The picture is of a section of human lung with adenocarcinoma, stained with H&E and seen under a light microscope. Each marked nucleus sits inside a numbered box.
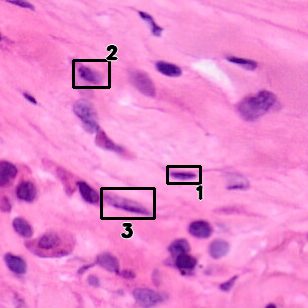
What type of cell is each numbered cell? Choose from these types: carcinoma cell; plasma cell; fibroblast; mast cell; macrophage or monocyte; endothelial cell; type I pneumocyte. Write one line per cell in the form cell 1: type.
cell 1: fibroblast
cell 2: plasma cell
cell 3: fibroblast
